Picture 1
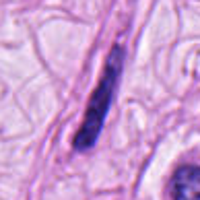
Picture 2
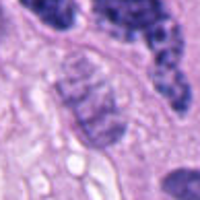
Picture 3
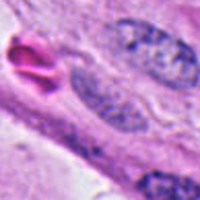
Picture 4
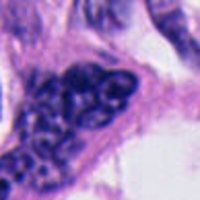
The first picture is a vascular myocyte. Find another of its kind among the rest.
Picture 3.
